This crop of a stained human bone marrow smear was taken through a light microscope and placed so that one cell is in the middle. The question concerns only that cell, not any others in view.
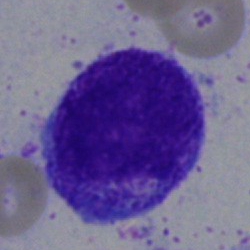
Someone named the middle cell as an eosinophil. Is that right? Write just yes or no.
no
